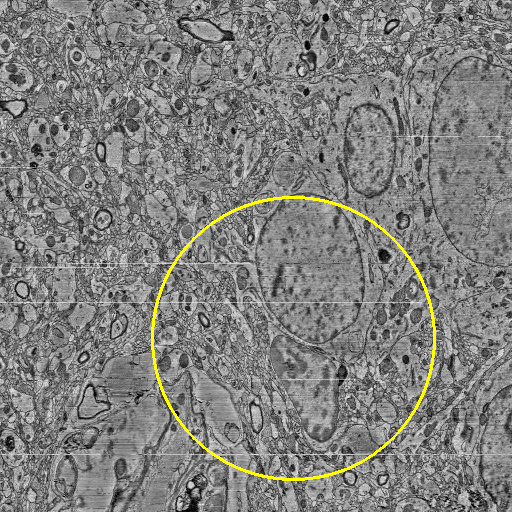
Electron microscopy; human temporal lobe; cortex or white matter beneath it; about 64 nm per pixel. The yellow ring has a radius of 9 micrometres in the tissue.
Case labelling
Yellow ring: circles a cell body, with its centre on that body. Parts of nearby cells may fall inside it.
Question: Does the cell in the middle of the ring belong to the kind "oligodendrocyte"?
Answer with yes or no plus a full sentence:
No, in this picture the cell in the middle of the yellow ring belongs to a different kind.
